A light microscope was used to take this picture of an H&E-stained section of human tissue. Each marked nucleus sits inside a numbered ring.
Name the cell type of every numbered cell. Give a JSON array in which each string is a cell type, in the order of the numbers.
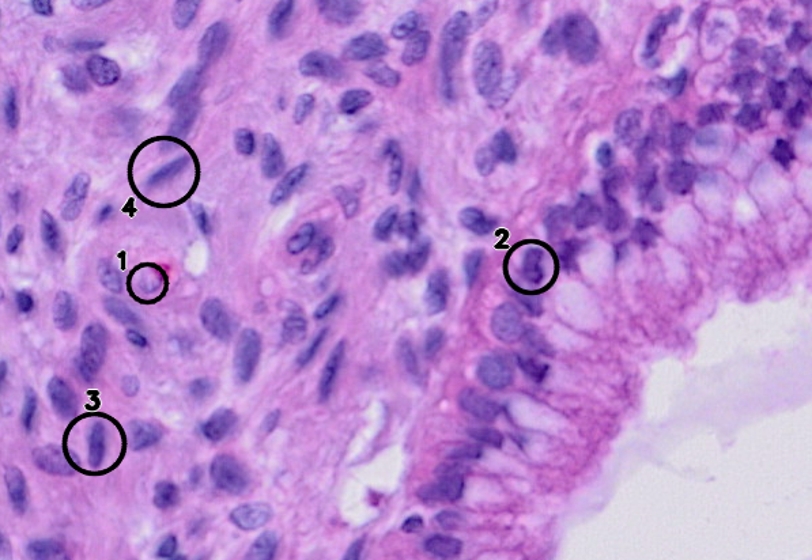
["endothelial cell", "secretory epithelial cell", "fibroblast", "fibroblast"]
